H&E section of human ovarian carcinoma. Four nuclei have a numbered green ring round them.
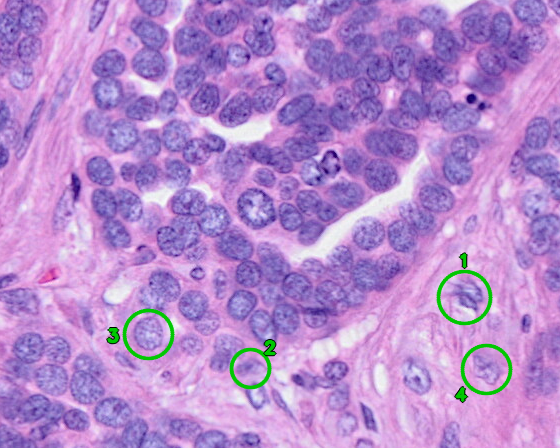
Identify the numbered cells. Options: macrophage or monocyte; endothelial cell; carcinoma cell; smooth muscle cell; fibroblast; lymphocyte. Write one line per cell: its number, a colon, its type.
1: fibroblast
2: fibroblast
3: carcinoma cell
4: fibroblast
